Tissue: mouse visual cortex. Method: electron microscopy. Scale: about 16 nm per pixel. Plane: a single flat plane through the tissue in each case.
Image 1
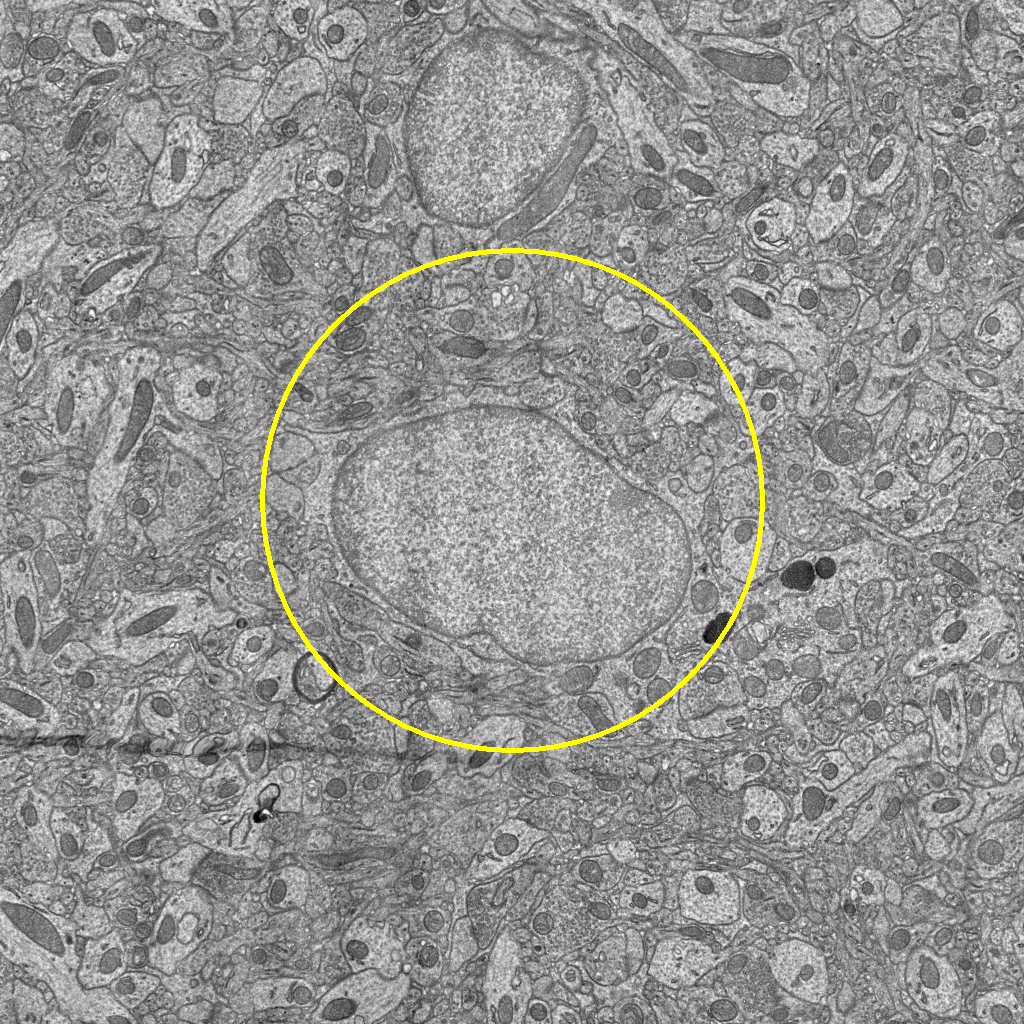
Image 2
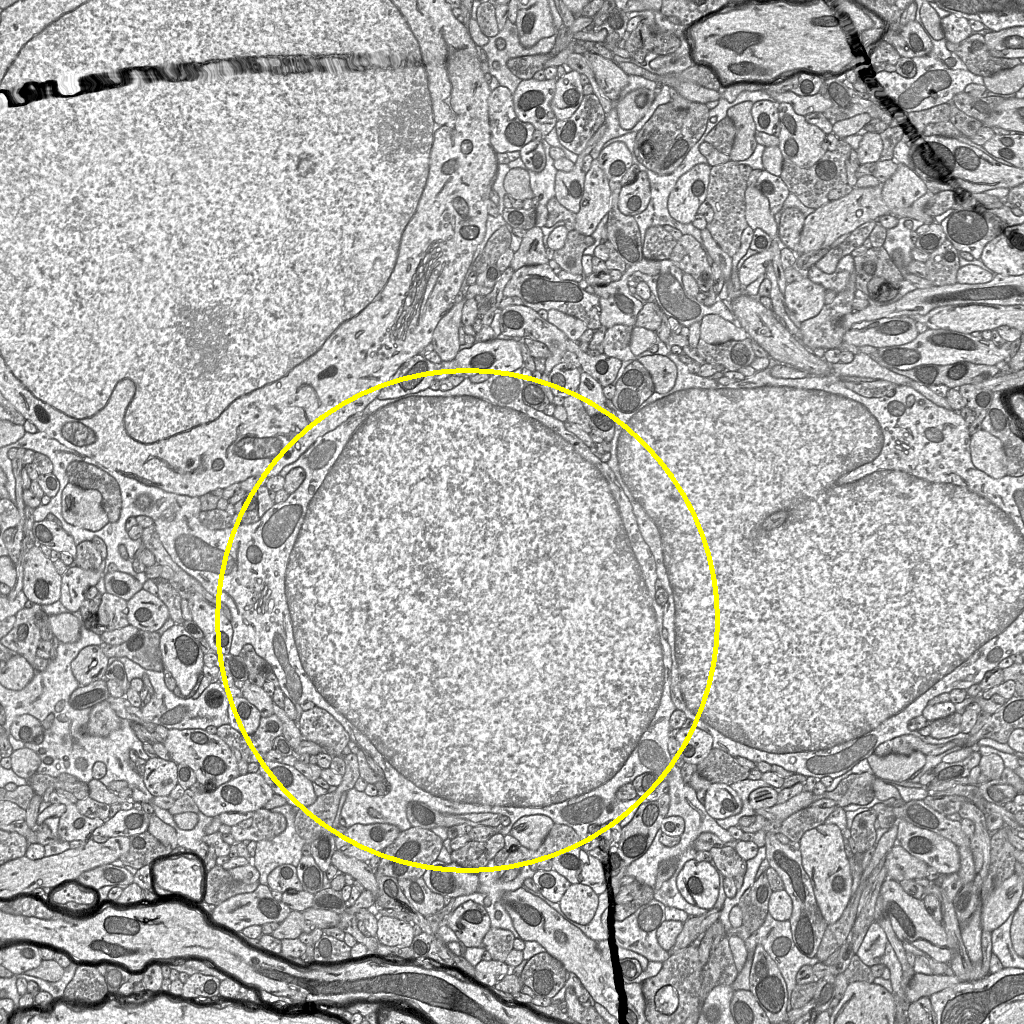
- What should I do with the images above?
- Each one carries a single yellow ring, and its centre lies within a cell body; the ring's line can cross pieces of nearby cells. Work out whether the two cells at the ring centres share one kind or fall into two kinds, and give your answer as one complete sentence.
The ring-centre cells of Image 1 and Image 2 share one kind.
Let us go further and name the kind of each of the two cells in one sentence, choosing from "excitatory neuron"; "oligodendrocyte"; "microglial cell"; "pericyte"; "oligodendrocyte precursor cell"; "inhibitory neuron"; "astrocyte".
Each cell at the centre of a ring is an astrocyte.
